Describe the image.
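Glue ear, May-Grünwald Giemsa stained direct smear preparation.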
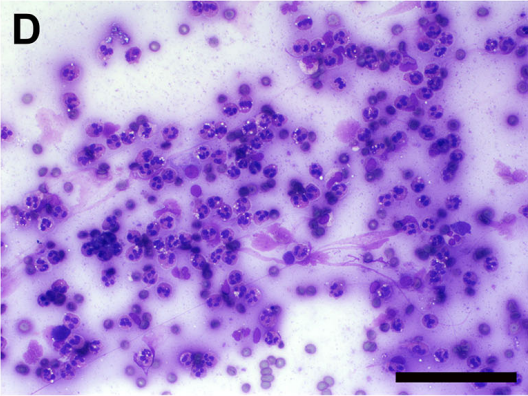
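The neutrophils are crowded together, each with a dark purple nucleus divided into several lobes and a pale lilac cytoplasm. Small round red blood cells without nuclei lie between and around the clusters.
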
